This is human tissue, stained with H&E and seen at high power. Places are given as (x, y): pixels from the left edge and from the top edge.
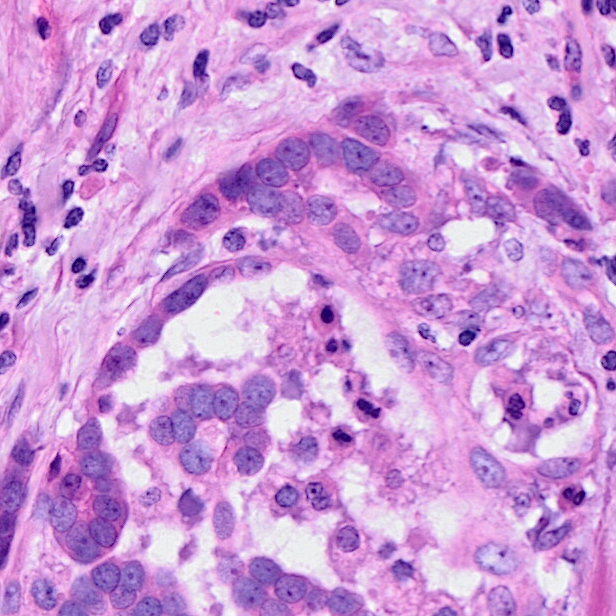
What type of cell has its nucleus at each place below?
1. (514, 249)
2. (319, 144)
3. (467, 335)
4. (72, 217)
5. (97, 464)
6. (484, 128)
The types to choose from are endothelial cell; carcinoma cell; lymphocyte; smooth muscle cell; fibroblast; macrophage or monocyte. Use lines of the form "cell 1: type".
cell 1: macrophage or monocyte
cell 2: carcinoma cell
cell 3: lymphocyte
cell 4: lymphocyte
cell 5: carcinoma cell
cell 6: fibroblast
